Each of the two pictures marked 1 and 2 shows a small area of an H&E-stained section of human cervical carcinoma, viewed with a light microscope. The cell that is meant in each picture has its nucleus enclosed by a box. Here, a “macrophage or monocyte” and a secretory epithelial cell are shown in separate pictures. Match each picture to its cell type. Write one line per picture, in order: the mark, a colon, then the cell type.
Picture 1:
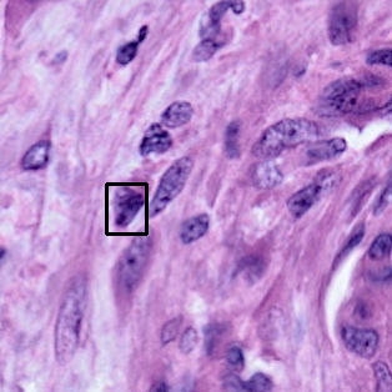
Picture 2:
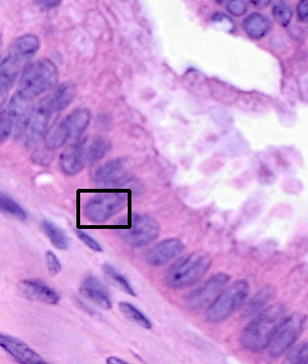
1: macrophage or monocyte
2: secretory epithelial cell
